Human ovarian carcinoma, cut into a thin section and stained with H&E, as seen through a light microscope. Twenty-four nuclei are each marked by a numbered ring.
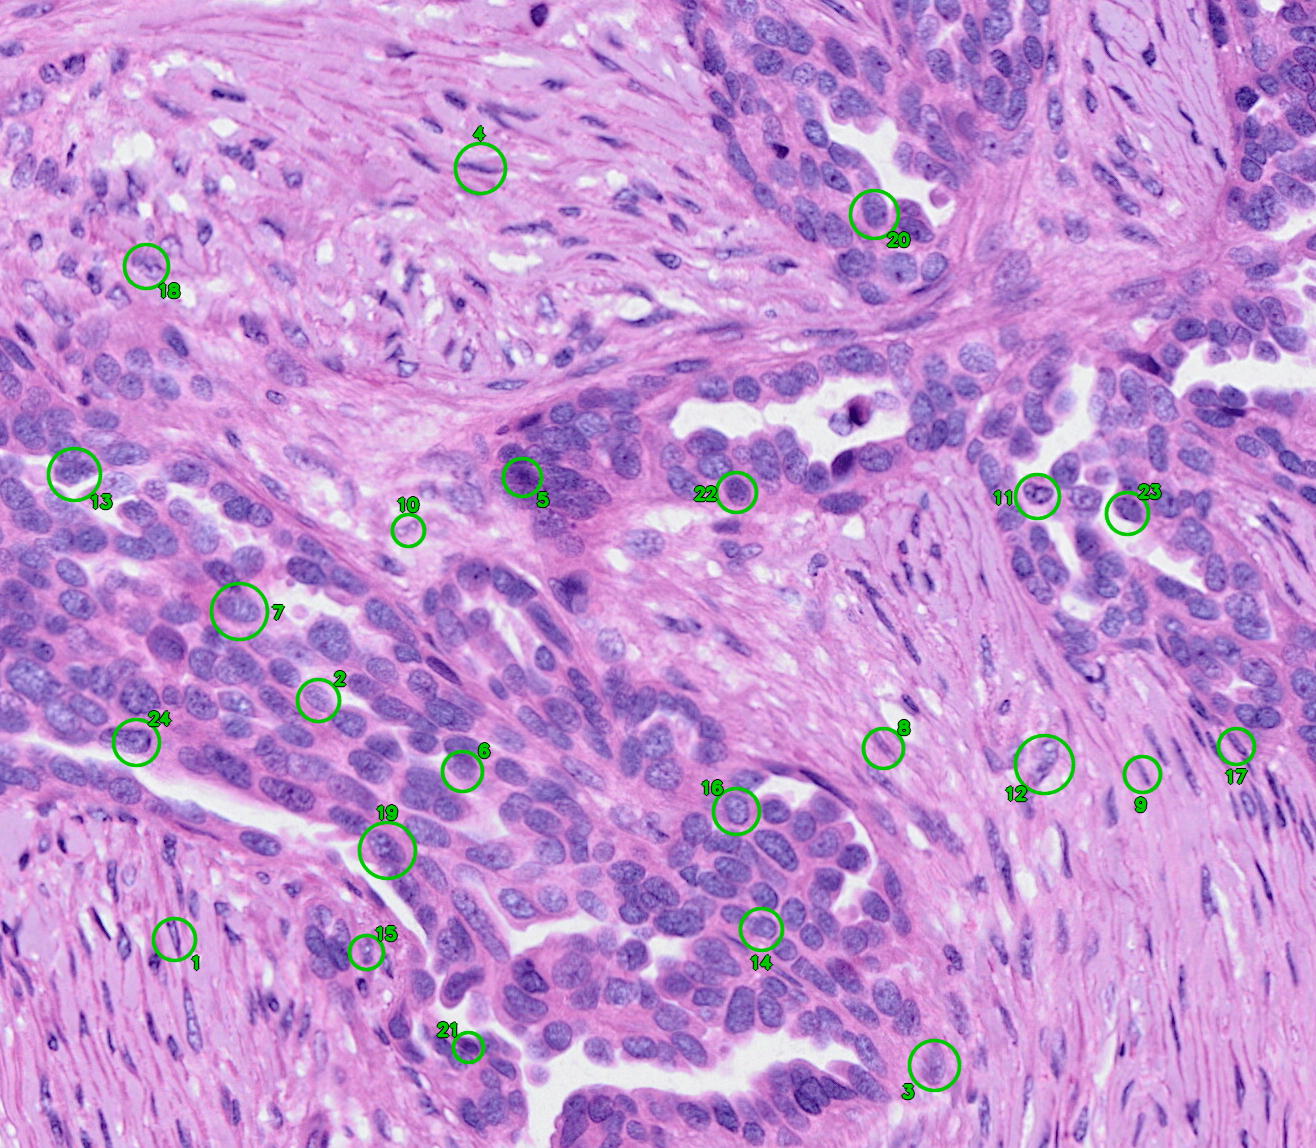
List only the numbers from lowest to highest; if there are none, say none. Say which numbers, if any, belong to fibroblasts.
1, 3, 4, 8, 9, 10, 12, 15, 17, 18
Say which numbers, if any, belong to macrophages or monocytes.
11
